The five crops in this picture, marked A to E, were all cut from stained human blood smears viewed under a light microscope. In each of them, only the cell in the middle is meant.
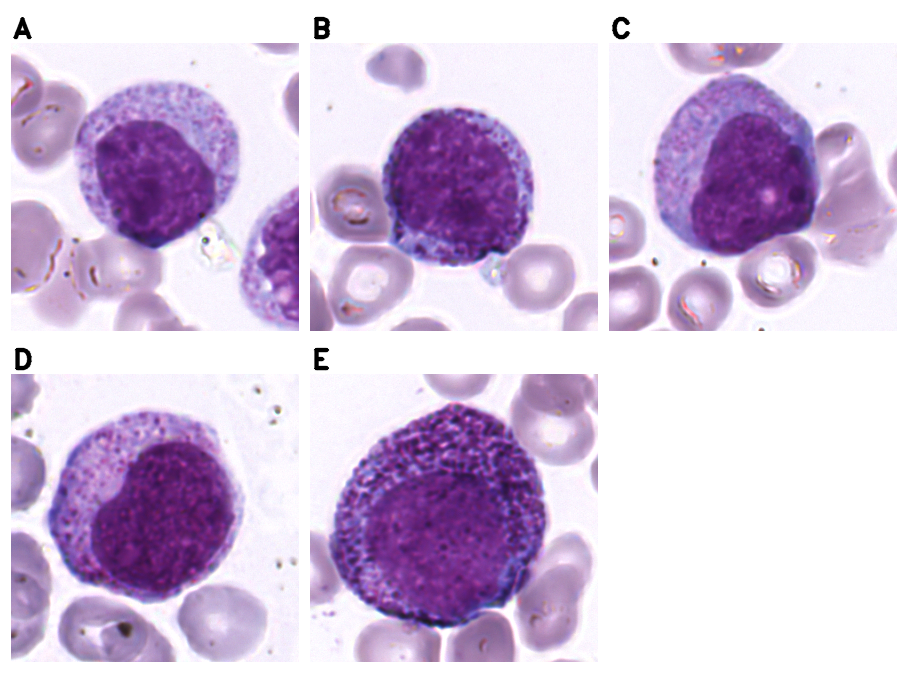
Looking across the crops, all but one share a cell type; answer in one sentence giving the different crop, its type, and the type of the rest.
The exception is crop A, with a myelocyte; the remaining crops all show promyelocytes.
